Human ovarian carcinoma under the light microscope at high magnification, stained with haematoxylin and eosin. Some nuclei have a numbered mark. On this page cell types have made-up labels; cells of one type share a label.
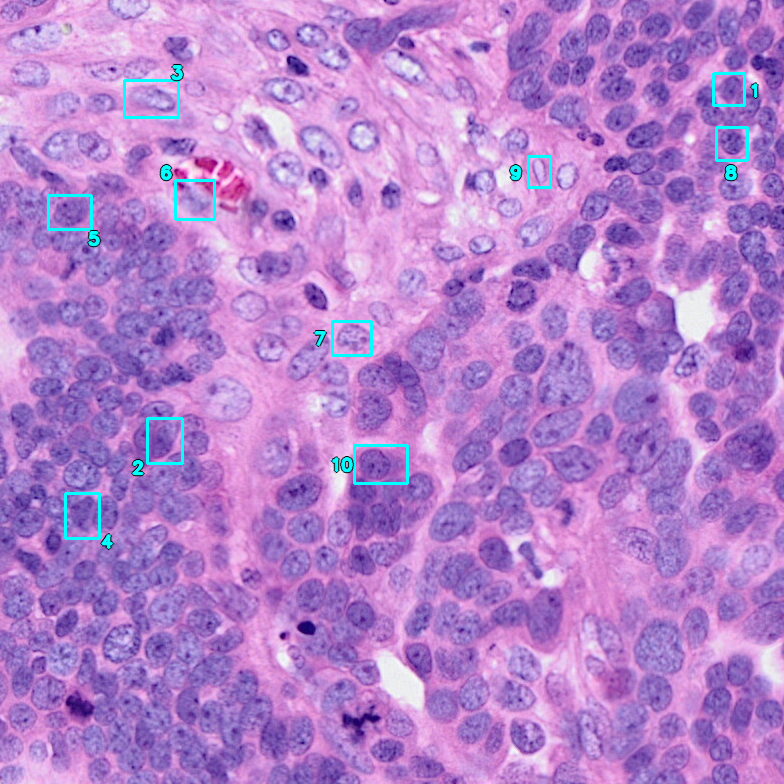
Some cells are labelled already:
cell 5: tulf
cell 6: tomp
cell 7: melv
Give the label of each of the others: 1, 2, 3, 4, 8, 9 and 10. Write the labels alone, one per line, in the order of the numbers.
tulf
tulf
melv
tulf
tulf
melv
tulf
